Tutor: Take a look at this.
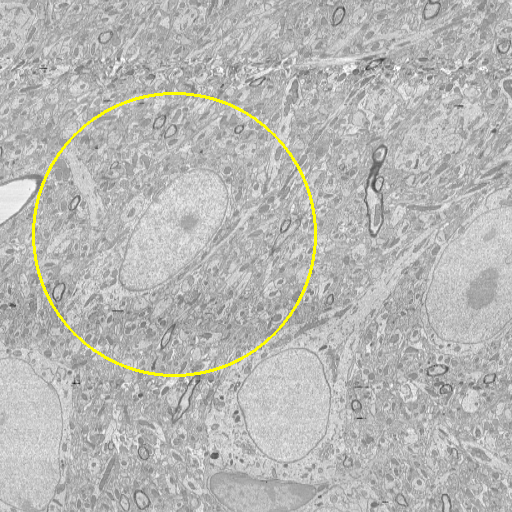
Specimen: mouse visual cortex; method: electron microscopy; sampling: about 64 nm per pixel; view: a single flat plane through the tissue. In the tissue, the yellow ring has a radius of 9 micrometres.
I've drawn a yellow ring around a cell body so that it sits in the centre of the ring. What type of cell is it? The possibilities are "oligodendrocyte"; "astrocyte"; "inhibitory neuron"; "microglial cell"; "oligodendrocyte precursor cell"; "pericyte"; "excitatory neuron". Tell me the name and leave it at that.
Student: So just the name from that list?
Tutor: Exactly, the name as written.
astrocyte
